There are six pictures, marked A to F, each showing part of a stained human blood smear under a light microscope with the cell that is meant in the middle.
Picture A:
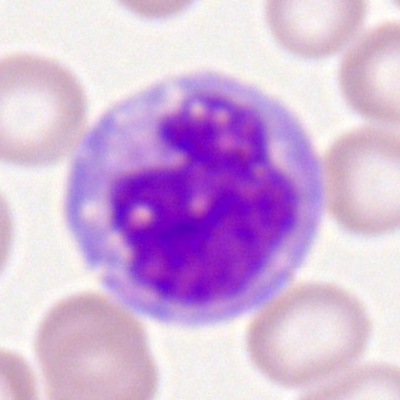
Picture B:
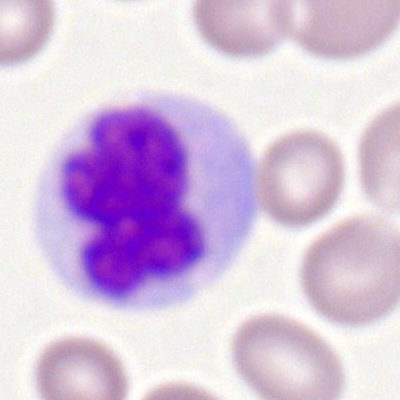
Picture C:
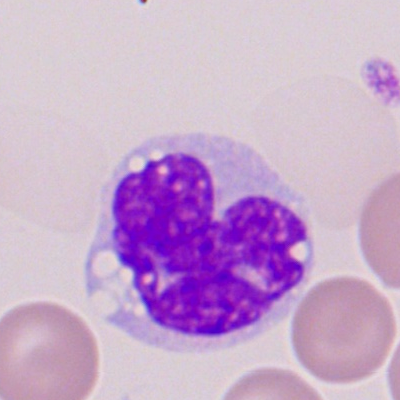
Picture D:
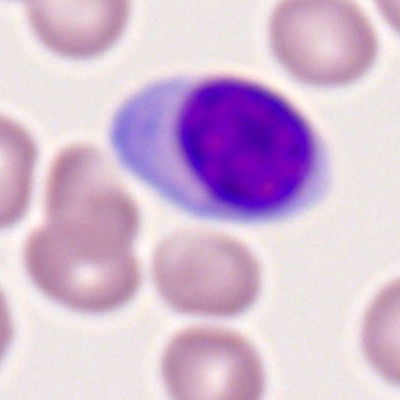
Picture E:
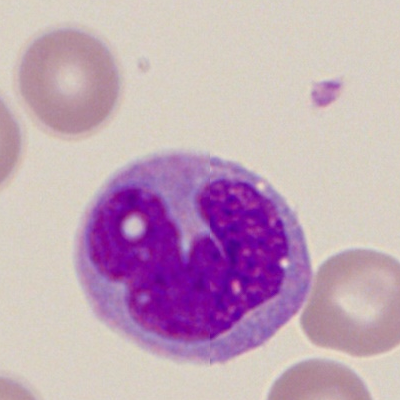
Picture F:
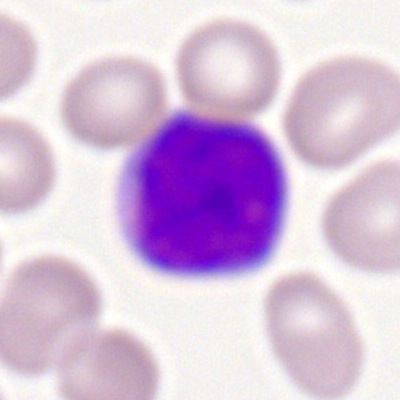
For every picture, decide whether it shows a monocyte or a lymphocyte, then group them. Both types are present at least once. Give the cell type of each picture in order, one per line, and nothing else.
monocyte
monocyte
monocyte
lymphocyte
monocyte
lymphocyte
